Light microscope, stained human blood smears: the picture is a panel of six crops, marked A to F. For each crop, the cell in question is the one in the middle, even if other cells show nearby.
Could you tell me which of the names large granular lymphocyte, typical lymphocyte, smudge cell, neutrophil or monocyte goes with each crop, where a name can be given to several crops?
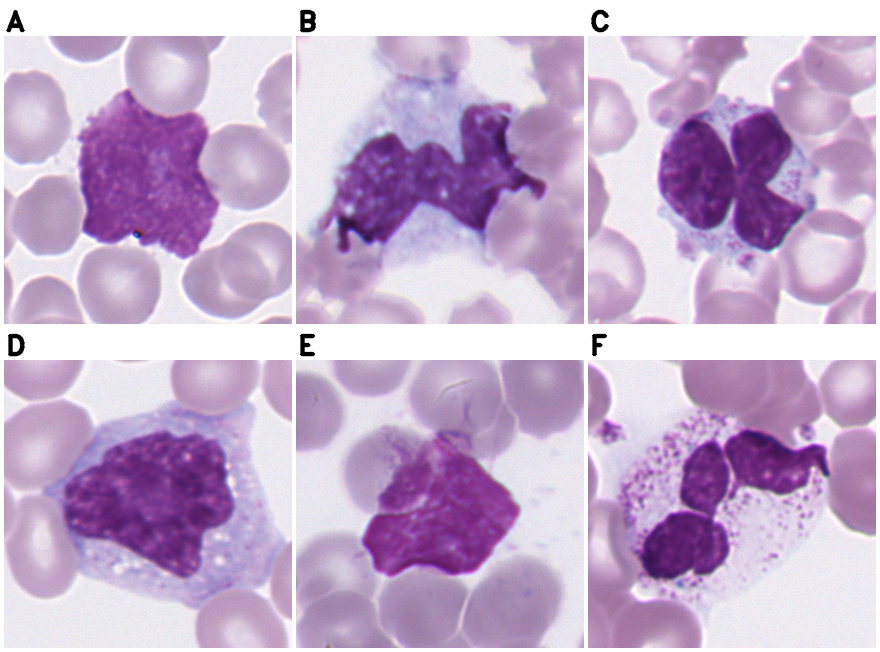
A: smudge cell
B: monocyte
C: large granular lymphocyte
D: monocyte
E: smudge cell
F: neutrophil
